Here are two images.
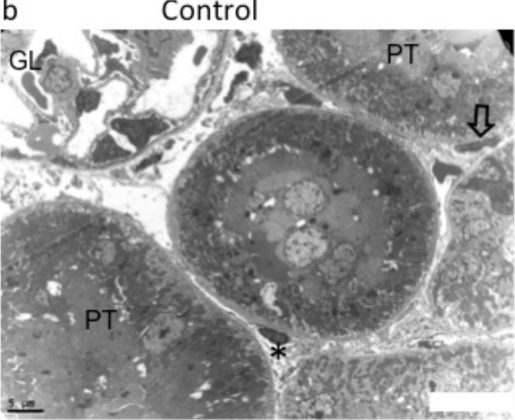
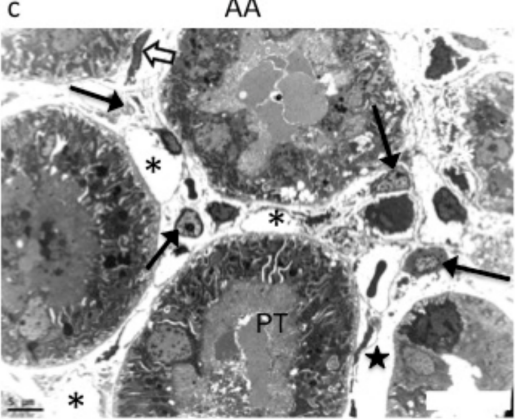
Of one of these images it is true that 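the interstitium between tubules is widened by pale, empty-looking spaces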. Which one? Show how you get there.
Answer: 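The second image. Second image: wide pale gaps with loose fibres separate the tubules. First image: tubules lie close together with narrow interstitium.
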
